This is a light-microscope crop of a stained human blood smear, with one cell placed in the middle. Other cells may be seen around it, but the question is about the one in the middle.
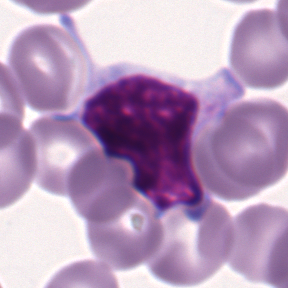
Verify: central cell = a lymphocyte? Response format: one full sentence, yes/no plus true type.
Yes, the cell under consideration, the one in the middle, is a lymphocyte.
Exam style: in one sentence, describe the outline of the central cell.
The cell is outlined unevenly, the border being ragged or extended into projections.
